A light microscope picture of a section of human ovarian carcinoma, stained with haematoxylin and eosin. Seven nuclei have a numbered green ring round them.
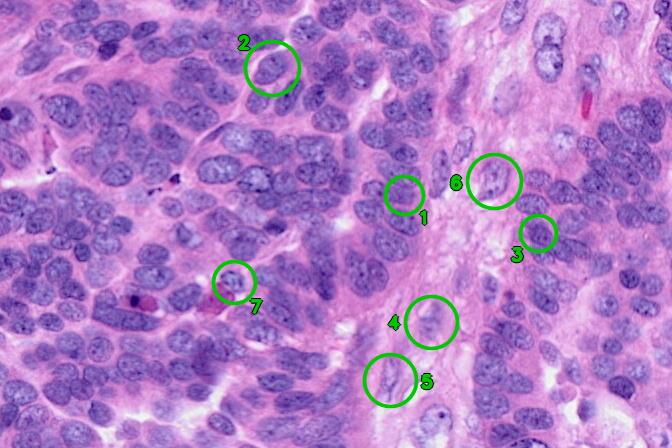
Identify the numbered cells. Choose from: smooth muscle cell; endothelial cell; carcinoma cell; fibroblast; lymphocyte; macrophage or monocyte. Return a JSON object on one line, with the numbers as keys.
{"1": "carcinoma cell", "2": "carcinoma cell", "3": "carcinoma cell", "4": "fibroblast", "5": "fibroblast", "6": "fibroblast", "7": "macrophage or monocyte"}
